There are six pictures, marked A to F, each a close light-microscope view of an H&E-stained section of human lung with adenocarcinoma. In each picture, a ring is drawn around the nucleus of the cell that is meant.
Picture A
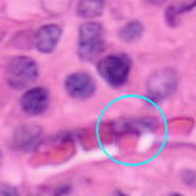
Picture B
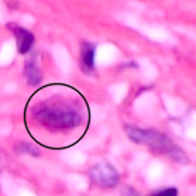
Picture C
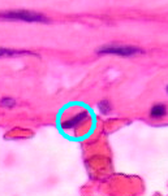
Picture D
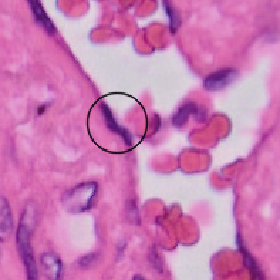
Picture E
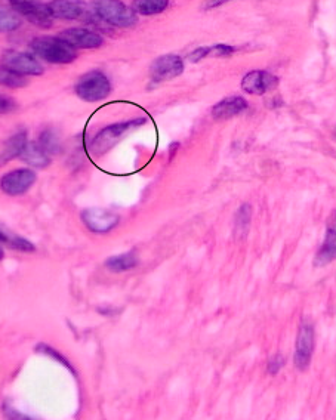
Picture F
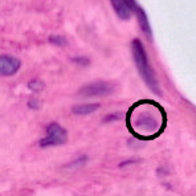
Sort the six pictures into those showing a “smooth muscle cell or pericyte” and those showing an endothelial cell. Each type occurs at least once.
A: endothelial cell
B: smooth muscle cell or pericyte
C: endothelial cell
D: endothelial cell
E: endothelial cell
F: smooth muscle cell or pericyte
